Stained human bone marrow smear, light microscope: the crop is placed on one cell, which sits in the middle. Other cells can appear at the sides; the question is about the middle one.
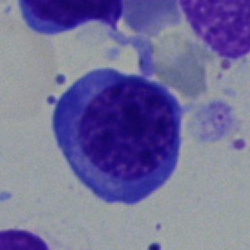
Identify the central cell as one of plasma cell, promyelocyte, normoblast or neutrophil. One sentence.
The central cell shown in this smear crop is a normoblast.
